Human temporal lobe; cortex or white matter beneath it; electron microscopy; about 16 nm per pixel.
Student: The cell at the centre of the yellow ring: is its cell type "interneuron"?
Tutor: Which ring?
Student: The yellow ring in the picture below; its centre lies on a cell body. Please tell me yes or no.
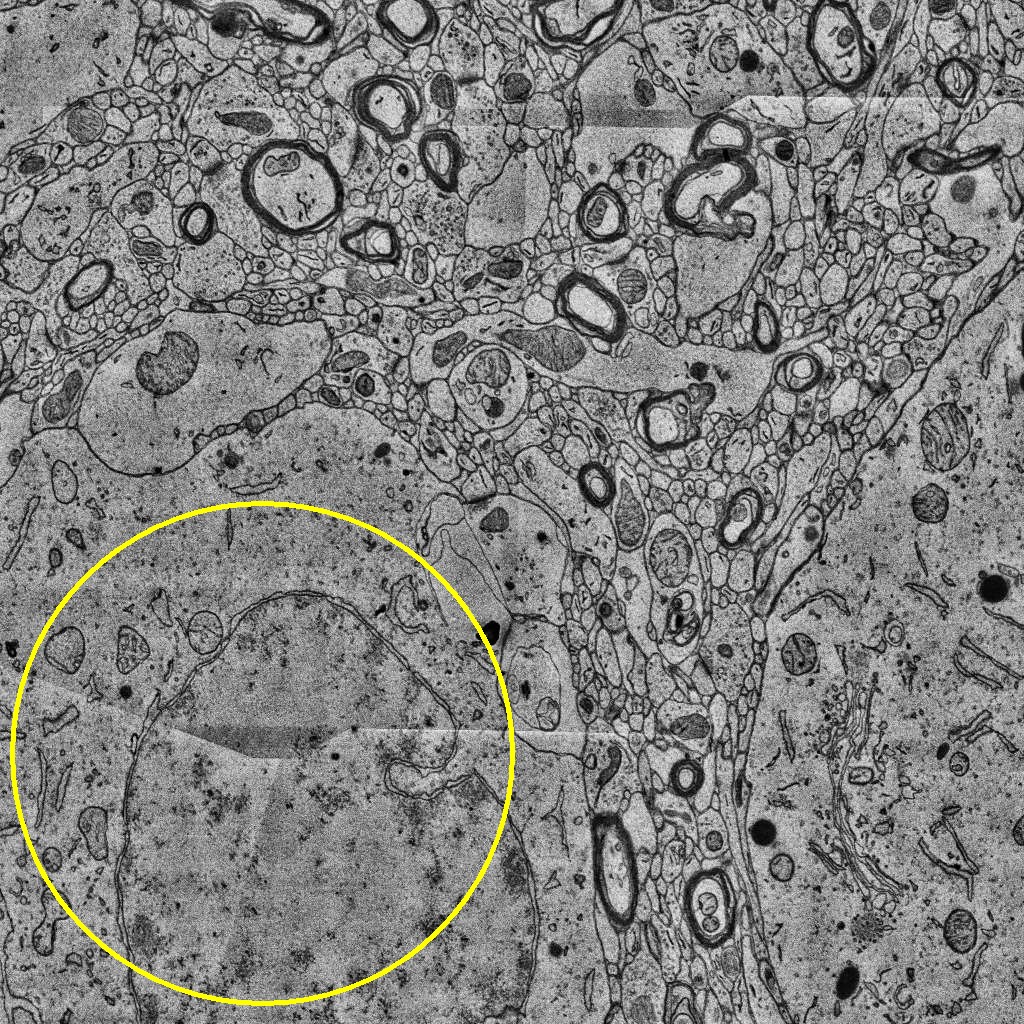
yes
